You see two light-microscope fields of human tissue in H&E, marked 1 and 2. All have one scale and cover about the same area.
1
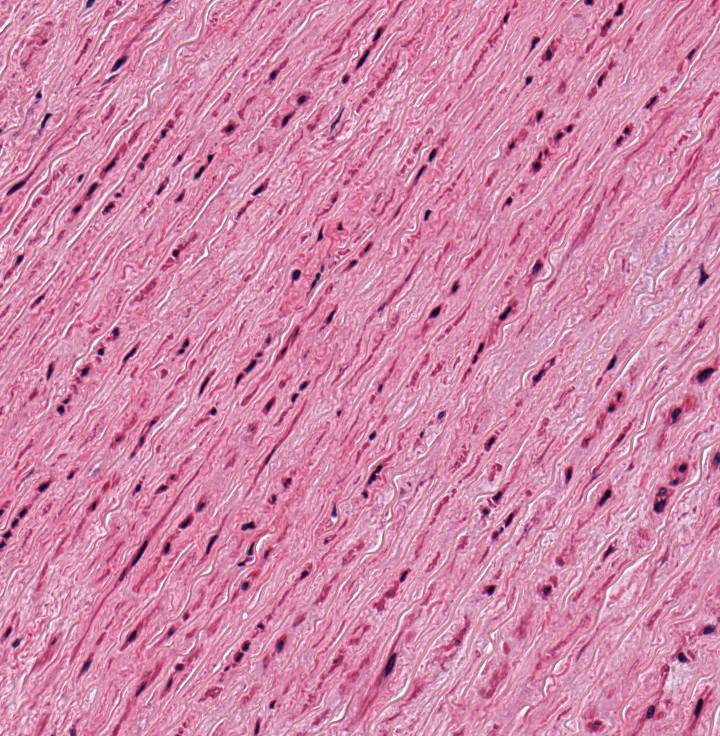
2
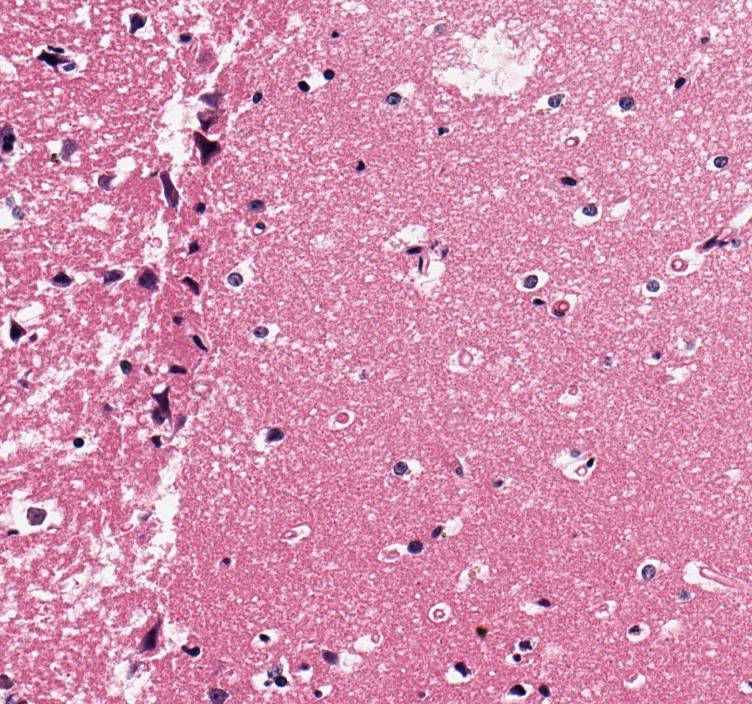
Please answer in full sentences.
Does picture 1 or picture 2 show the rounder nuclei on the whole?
The nuclei are rounder in picture 2.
